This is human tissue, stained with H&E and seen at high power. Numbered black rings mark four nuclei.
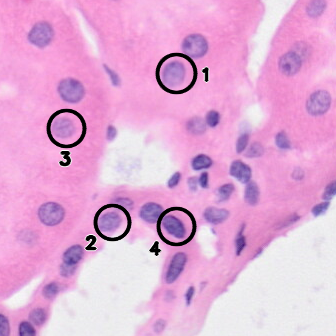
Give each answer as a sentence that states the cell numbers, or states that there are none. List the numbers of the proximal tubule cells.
The cells that bear the numbers 1 and 3 are proximal tubule cells.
